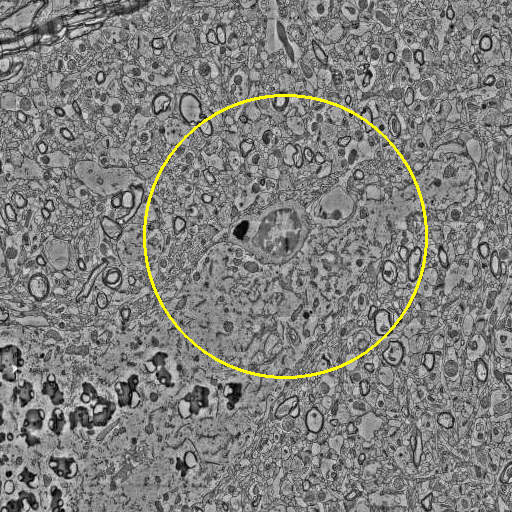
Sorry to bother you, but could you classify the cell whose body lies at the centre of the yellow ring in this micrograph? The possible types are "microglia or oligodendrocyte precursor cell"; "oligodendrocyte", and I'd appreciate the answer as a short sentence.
The ringed cell body is that of an oligodendrocyte.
